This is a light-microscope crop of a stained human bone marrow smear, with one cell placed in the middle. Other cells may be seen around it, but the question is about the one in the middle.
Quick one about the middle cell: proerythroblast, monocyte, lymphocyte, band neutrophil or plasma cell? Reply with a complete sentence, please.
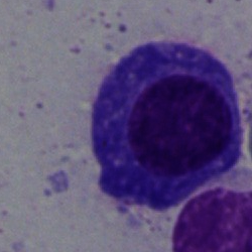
At the middle of the frame sits a plasma cell.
